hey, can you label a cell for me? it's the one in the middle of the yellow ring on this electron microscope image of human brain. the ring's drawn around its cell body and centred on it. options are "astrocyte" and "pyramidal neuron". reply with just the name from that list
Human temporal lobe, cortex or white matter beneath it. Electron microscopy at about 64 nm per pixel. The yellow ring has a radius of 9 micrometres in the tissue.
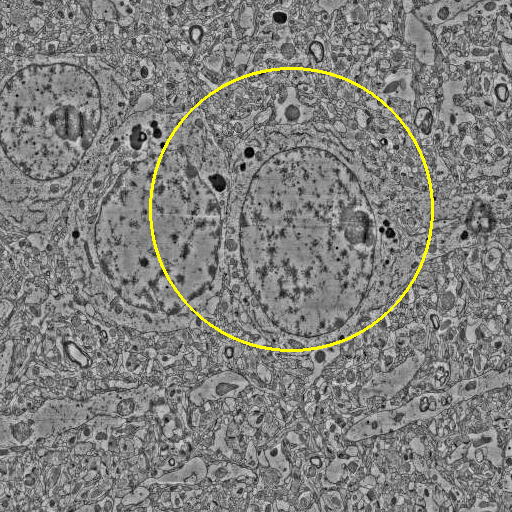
pyramidal neuron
